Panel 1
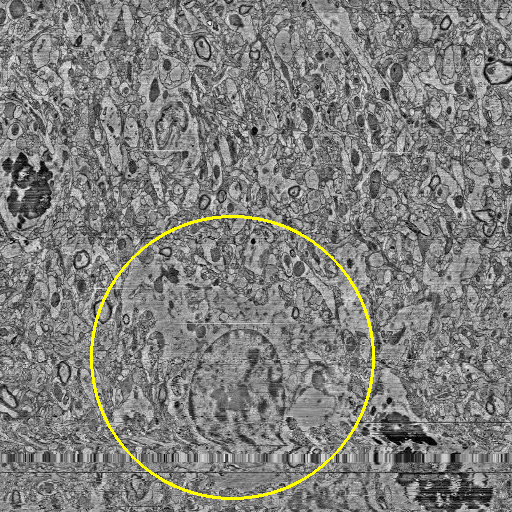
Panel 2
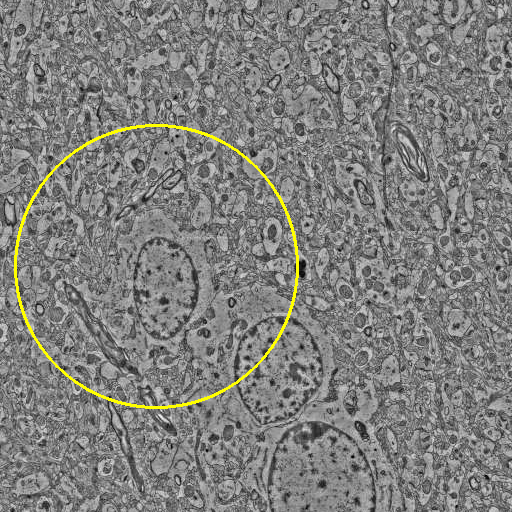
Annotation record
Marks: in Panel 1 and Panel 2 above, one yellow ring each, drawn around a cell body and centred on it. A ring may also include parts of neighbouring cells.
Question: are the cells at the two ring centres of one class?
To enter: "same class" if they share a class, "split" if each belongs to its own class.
same class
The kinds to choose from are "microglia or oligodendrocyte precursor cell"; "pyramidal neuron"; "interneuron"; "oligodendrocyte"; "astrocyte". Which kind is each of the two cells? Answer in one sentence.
Both pictures show an astrocyte at the centre of the ring.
